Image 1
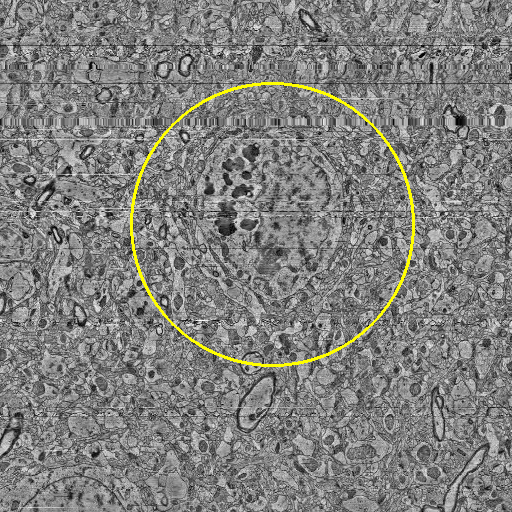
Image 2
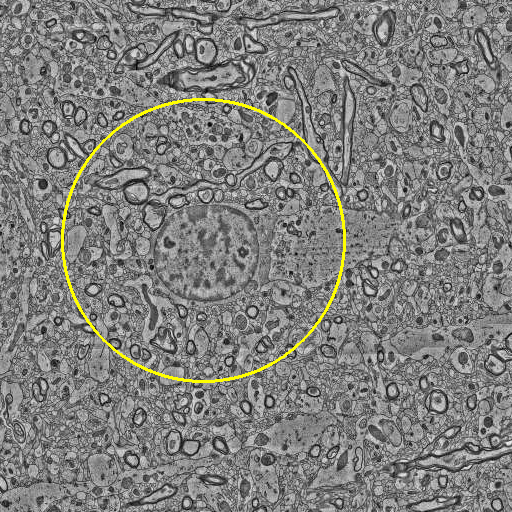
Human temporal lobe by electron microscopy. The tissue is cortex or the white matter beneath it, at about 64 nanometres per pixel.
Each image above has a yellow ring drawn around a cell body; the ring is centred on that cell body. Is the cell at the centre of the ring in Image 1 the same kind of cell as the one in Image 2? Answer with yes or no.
no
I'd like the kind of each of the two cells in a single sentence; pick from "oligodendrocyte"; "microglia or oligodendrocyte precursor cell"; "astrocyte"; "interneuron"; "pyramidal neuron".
The first ring marks an interneuron, and the second ring marks an oligodendrocyte.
